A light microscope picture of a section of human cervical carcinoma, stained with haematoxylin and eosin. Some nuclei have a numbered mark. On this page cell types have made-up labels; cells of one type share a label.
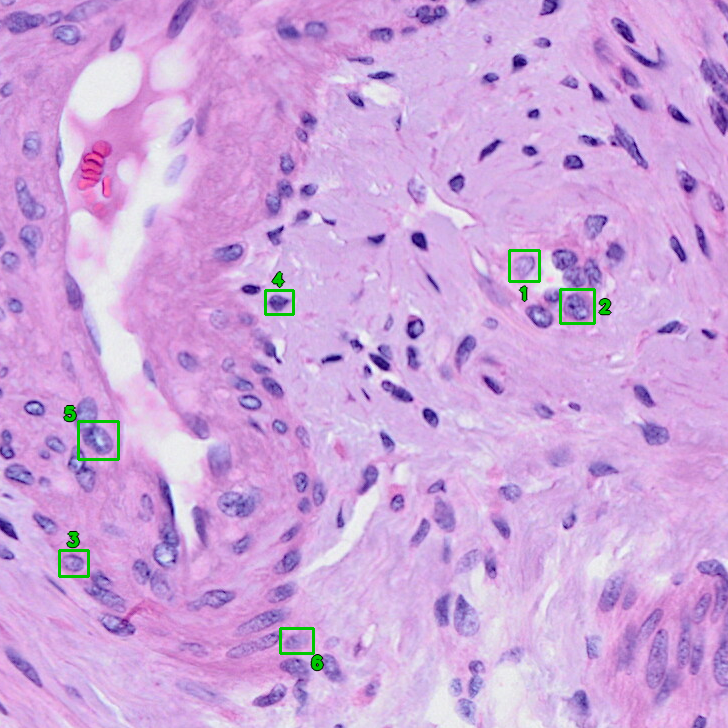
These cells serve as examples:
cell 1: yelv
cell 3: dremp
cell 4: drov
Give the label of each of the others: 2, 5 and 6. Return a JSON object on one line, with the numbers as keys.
{"2": "yelv", "5": "dremp", "6": "dremp"}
